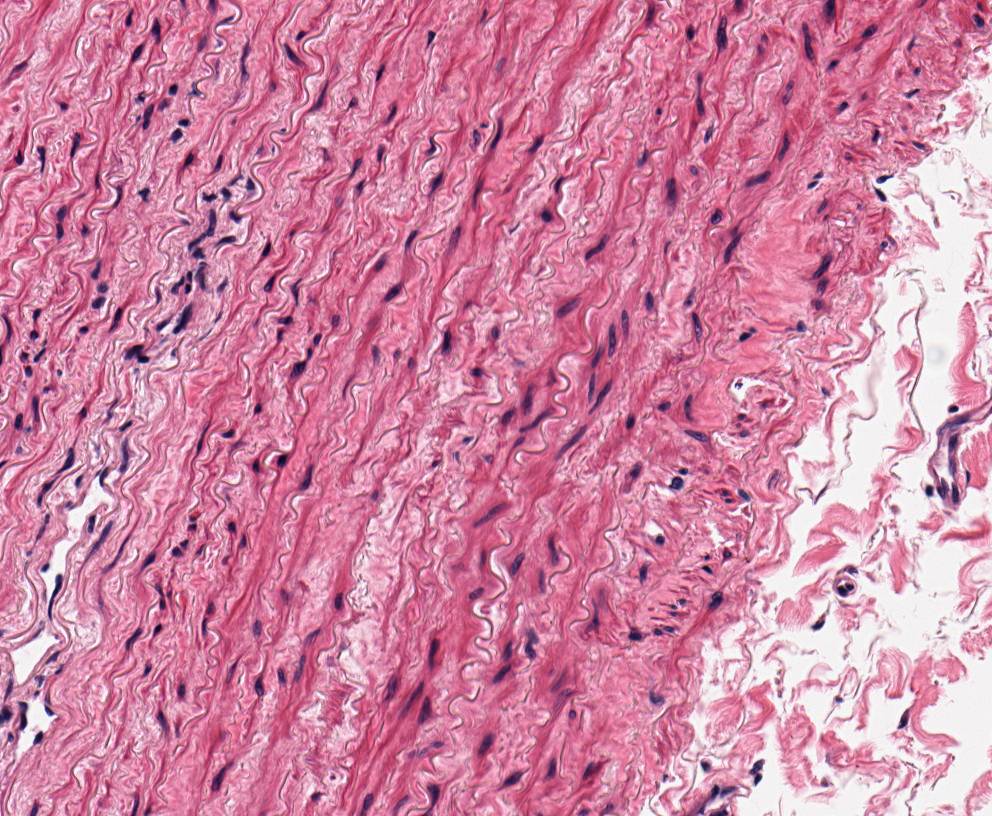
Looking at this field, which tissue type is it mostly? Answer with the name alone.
tunica media of an artery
